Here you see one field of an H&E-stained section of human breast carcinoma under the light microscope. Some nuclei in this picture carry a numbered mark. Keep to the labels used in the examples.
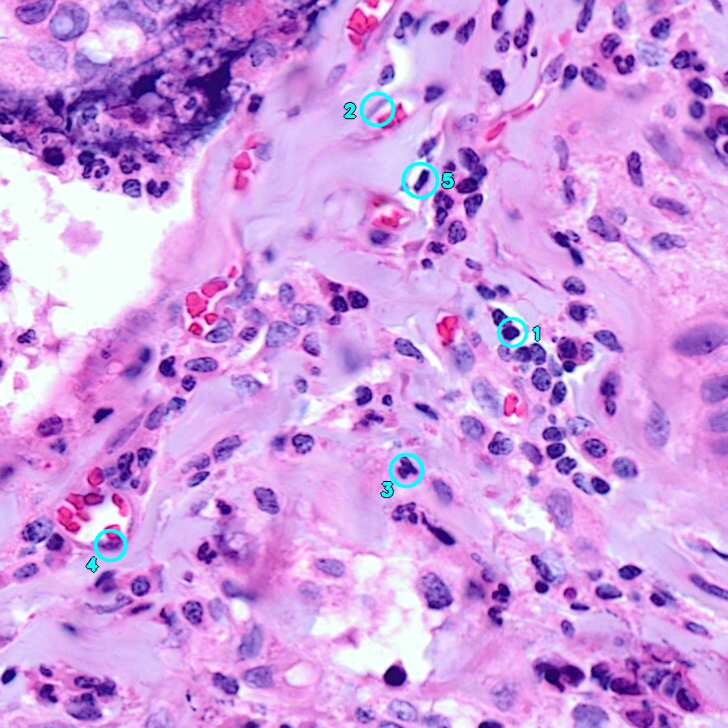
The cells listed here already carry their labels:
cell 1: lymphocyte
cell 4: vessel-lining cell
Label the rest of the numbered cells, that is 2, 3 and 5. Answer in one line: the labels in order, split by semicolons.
vessel-lining cell; lymphocyte; lymphocyte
